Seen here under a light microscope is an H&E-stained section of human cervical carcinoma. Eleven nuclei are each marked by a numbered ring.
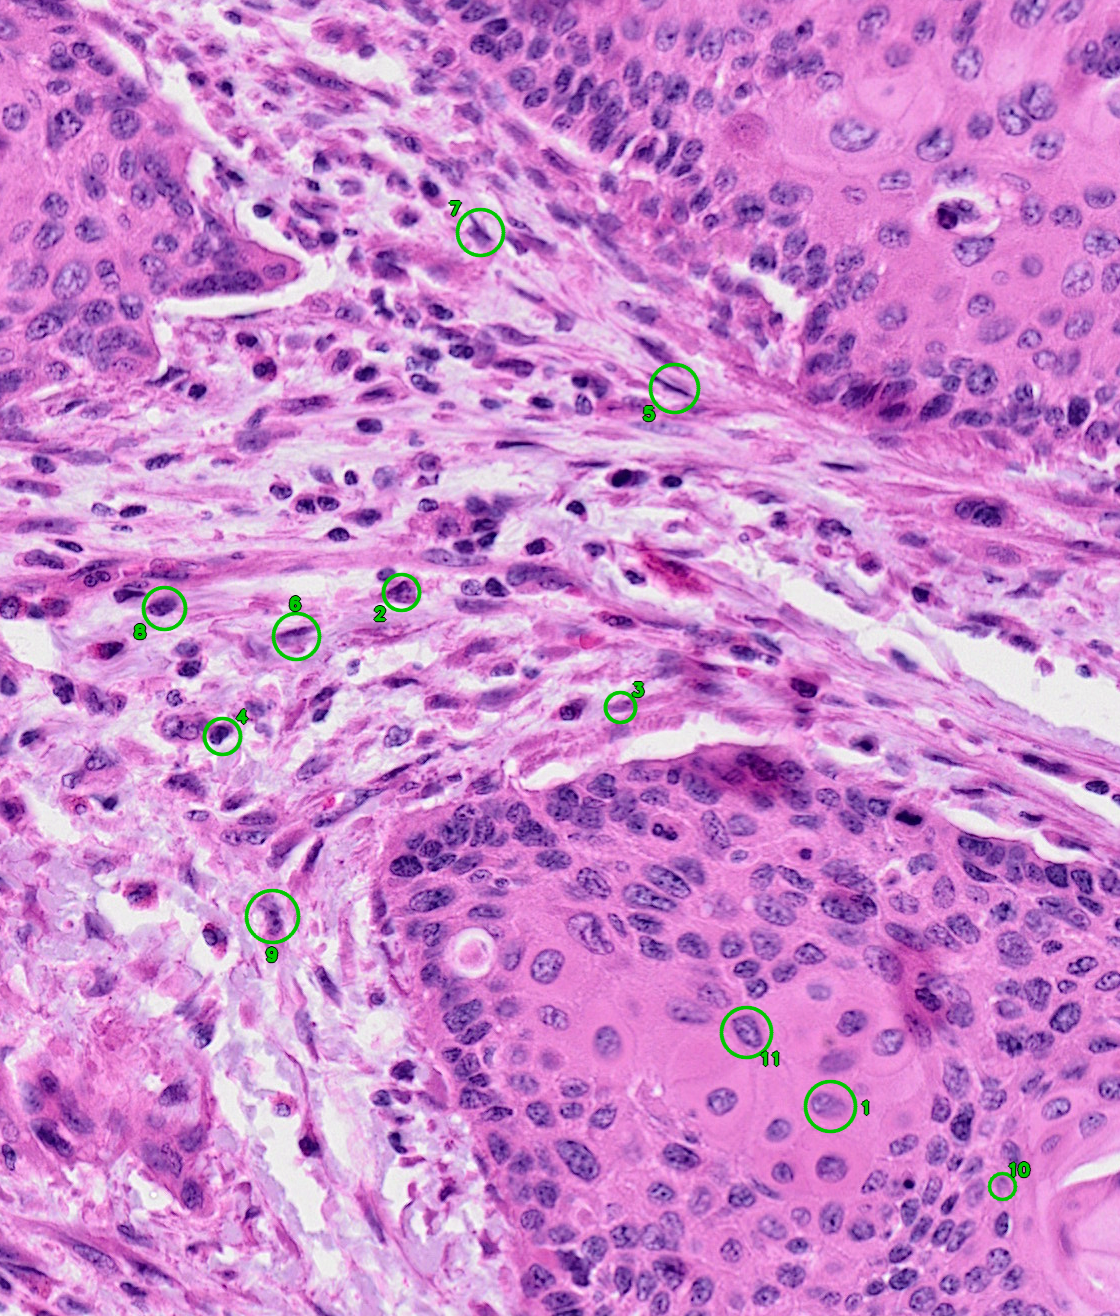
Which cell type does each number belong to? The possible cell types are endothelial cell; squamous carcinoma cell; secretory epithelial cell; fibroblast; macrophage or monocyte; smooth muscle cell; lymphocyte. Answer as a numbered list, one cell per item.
1. squamous carcinoma cell
2. macrophage or monocyte
3. fibroblast
4. lymphocyte
5. fibroblast
6. fibroblast
7. fibroblast
8. lymphocyte
9. fibroblast
10. squamous carcinoma cell
11. squamous carcinoma cell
